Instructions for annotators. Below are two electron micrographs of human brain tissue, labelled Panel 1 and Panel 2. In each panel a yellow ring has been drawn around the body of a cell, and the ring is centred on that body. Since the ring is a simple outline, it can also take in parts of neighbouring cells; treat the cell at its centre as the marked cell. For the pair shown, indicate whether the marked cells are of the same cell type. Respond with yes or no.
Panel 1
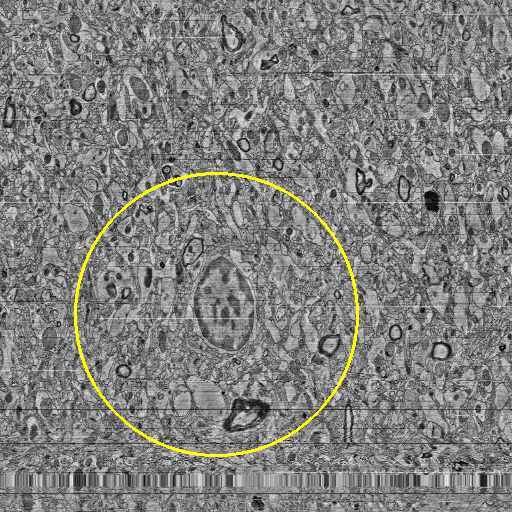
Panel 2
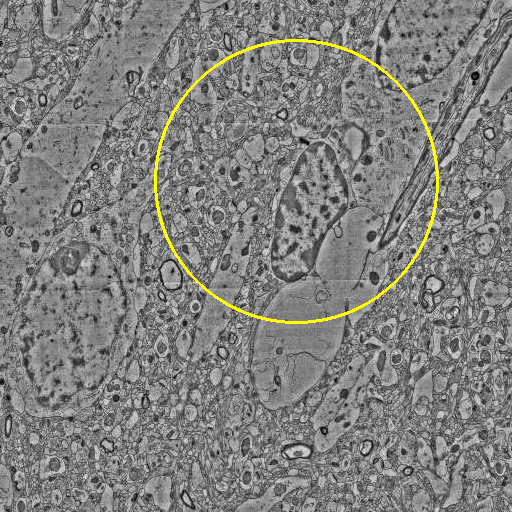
yes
